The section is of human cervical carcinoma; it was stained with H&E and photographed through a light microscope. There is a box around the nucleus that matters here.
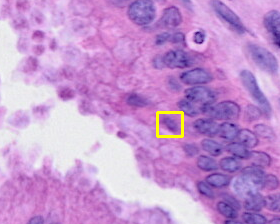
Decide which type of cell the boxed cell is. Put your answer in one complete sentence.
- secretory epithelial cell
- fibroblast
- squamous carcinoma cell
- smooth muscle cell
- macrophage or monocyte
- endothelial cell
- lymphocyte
With respect to cell type, the boxed cell is a secretory epithelial cell.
